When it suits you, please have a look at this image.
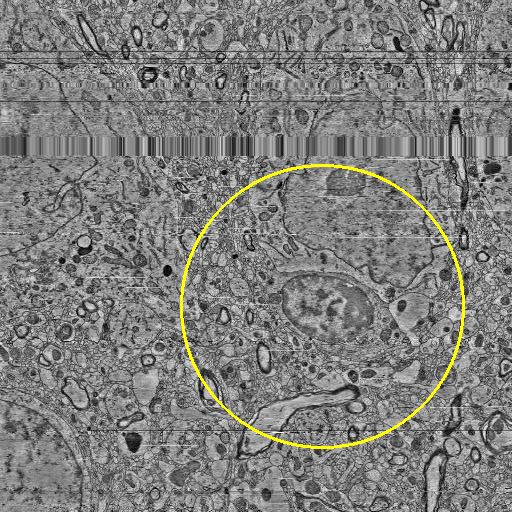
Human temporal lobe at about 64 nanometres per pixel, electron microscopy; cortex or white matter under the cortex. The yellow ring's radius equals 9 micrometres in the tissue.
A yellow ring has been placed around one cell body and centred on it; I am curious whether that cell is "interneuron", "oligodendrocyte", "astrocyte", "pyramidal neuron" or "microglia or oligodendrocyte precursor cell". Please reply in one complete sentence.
The ringed cell, an oligodendrocyte, has its body at the centre of the yellow ring.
